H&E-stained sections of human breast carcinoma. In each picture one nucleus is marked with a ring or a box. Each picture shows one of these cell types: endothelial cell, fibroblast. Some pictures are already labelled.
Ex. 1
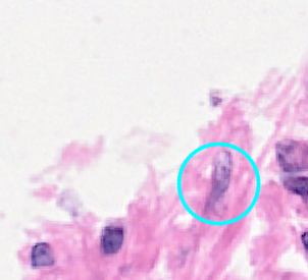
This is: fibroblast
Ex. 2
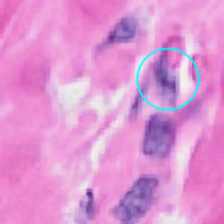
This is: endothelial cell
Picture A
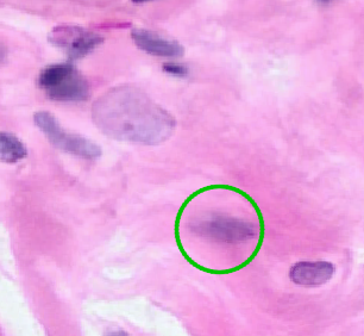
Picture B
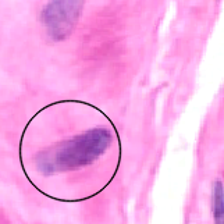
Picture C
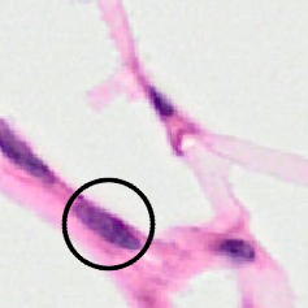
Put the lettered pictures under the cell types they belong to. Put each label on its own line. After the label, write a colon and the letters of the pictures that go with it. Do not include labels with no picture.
endothelial cell: C
fibroblast: A, B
